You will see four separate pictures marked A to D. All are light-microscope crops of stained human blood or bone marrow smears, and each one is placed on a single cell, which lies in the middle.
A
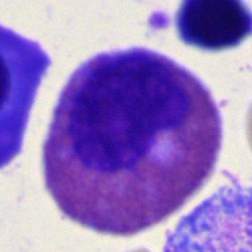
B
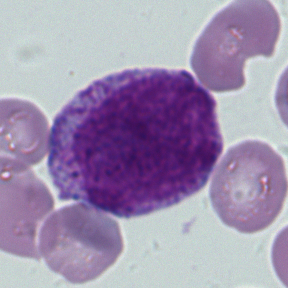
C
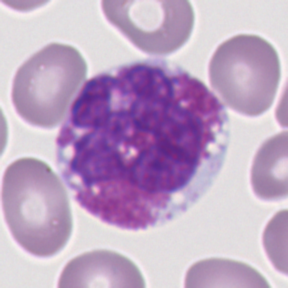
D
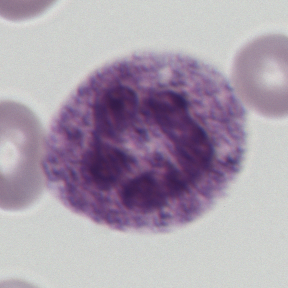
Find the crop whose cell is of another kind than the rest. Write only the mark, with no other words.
B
